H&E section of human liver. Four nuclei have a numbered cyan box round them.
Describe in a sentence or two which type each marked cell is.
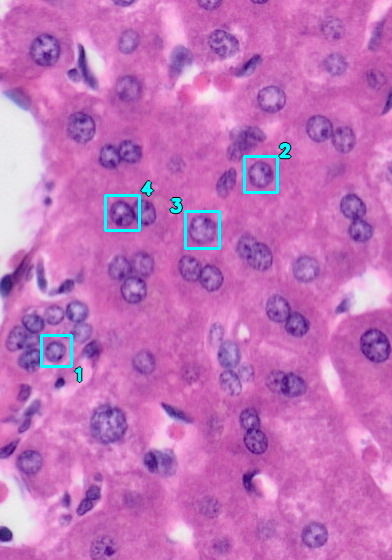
Cell 1 is a cholangiocyte, cell 2 is a hepatocyte, cell 3 is a hepatocyte and cell 4 is a hepatocyte.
